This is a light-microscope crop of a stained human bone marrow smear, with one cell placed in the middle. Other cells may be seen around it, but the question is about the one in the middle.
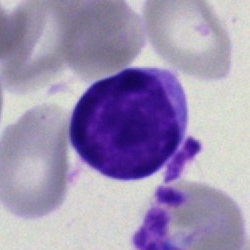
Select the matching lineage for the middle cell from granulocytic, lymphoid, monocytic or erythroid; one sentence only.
That the central cell belongs to the lymphoid lineage is the finding here.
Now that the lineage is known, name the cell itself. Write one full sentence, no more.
As for the cell in the middle, it is a lymphocyte.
